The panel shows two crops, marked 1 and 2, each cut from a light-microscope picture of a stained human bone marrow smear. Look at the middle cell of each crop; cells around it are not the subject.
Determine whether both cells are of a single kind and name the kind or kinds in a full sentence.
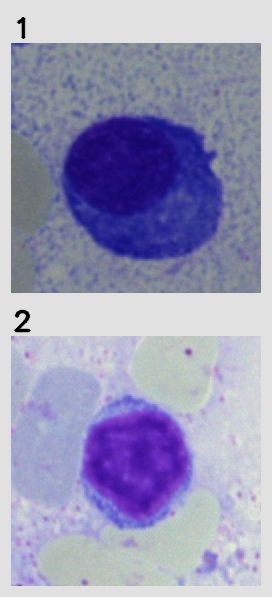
No, a lymphocyte is depicted in crop 2, whereas a plasma cell is depicted in crop 1.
